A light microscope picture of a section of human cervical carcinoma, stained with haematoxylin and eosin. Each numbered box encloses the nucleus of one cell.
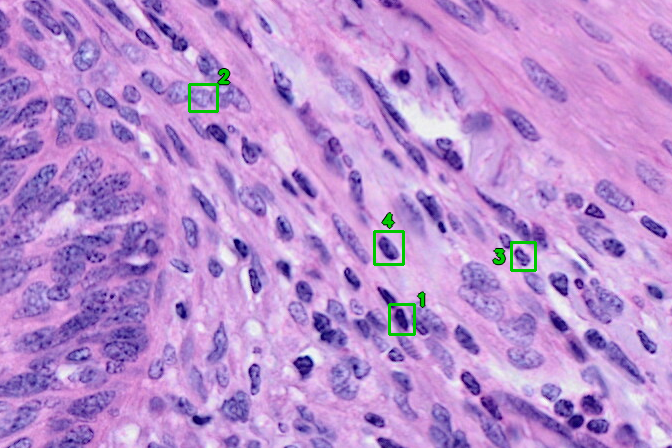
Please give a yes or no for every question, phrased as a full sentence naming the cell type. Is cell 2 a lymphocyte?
No, what is marked as number 2 is an endothelial cell rather than a lymphocyte.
